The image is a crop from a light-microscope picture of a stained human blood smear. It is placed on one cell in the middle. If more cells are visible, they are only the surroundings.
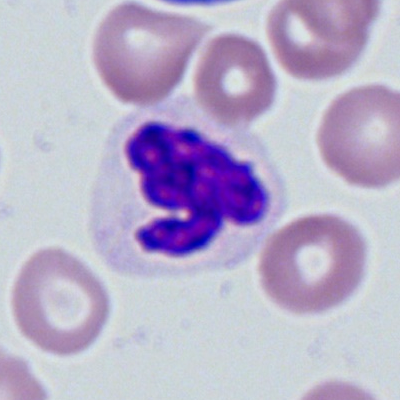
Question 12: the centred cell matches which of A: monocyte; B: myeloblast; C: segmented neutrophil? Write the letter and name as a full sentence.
The one cell at the centre is a segmented neutrophil, as correctly stated in option C.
